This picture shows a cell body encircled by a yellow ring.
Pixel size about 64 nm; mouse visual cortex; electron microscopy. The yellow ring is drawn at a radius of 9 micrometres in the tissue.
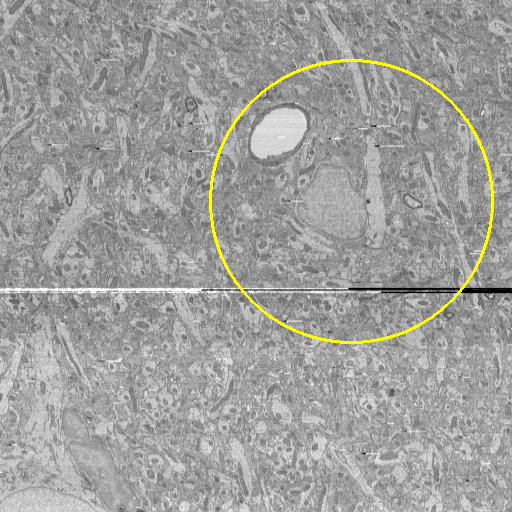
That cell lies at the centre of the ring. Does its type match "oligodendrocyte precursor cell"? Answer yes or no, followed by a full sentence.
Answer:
Yes, in the picture, the ring surrounds a cell of that type at its centre.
